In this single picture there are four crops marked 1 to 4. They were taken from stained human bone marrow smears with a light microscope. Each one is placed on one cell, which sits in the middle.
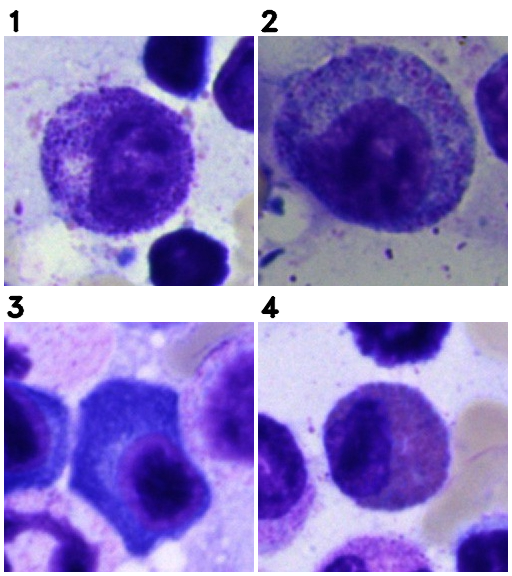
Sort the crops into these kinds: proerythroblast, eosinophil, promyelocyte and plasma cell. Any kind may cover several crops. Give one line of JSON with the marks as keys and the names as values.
{"1": "promyelocyte", "2": "promyelocyte", "3": "plasma cell", "4": "eosinophil"}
